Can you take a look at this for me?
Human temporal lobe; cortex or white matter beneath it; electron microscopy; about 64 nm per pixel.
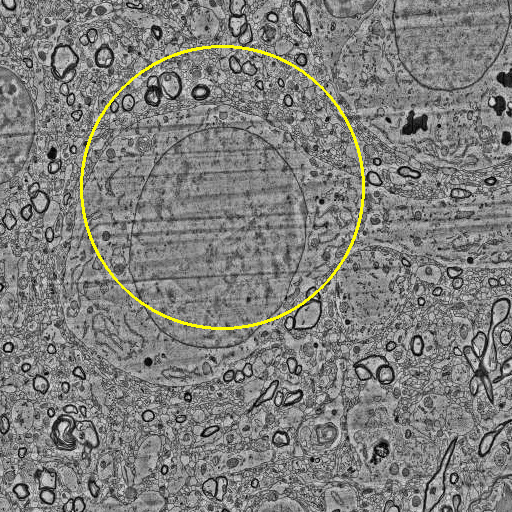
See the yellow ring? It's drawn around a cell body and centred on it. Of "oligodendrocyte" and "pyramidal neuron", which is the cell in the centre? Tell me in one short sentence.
The one in the centre is a pyramidal neuron.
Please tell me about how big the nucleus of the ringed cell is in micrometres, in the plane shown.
About 14 micrometres by about 11 micrometres in this plane.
